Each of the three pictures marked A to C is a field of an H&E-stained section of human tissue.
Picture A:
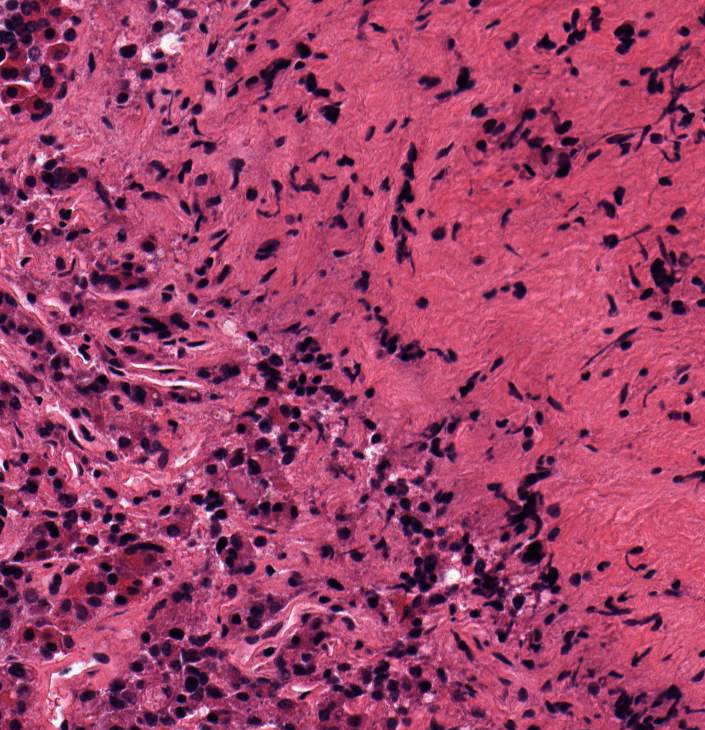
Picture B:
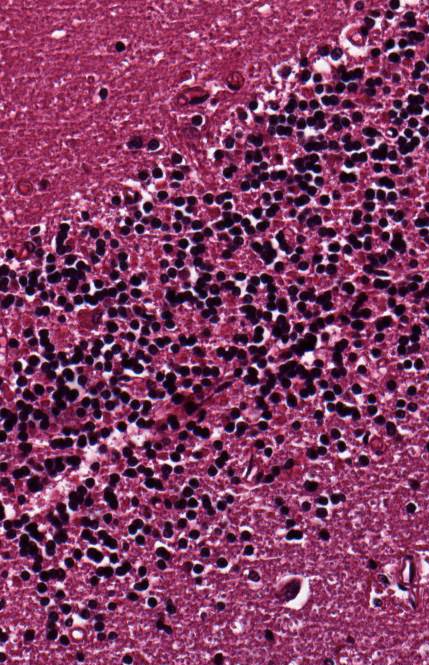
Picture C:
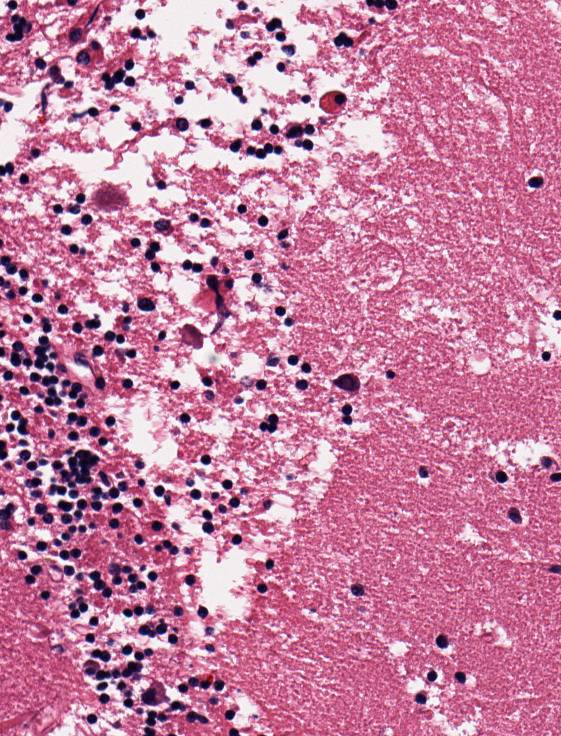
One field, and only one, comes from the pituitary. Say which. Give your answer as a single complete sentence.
Picture A comes from the pituitary.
